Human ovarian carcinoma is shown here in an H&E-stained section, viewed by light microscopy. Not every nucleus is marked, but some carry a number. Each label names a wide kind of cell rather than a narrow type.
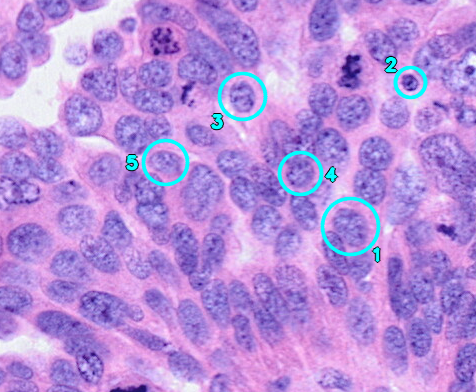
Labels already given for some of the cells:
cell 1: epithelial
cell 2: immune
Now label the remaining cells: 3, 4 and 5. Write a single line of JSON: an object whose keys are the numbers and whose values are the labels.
{"3": "immune", "4": "epithelial", "5": "epithelial"}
